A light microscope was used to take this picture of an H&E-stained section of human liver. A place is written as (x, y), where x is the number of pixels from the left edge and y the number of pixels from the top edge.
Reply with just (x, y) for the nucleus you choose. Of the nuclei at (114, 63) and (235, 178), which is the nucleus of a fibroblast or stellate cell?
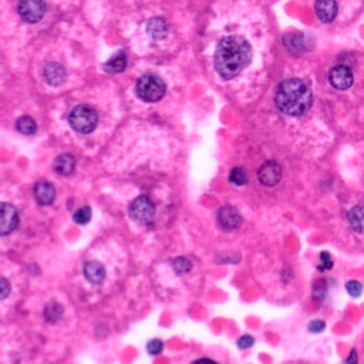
(235, 178)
